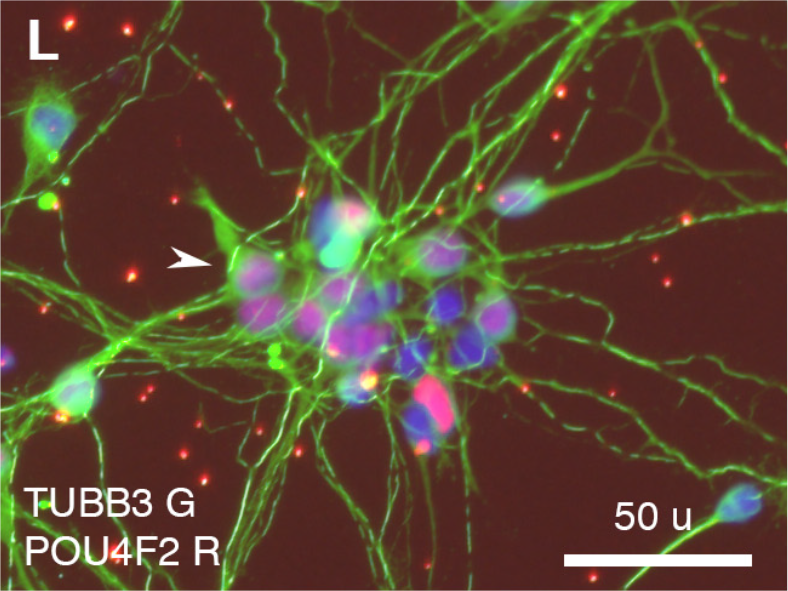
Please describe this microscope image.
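A small cluster of isolated neurons sits on the dish, their round nuclei blue, many of them tinged pink-red. From the cluster, long thin green processes radiate and branch in all directions, without any shared orientation. A few cell bodies show a green cytoplasmic rim tapering into a process.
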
